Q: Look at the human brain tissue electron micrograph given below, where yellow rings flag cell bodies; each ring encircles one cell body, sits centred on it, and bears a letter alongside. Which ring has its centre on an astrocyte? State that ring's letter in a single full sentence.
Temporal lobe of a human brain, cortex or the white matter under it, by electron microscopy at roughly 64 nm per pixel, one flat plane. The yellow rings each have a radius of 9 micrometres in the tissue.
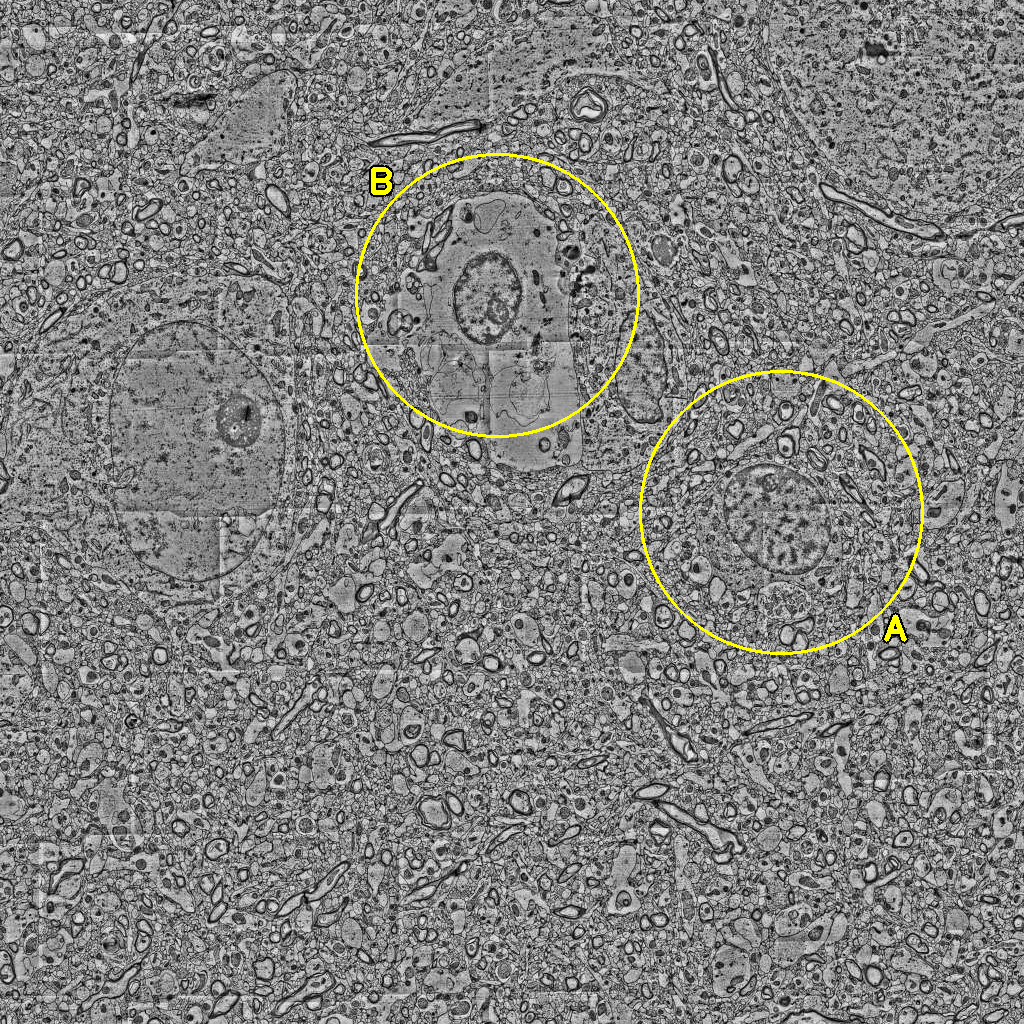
In the picture, the cell of that kind sits at the centre of ring B.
